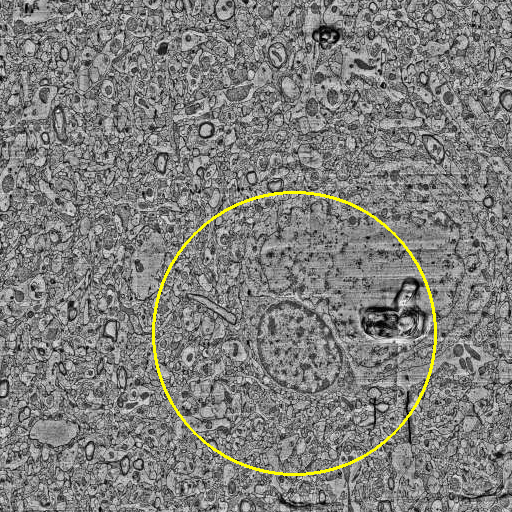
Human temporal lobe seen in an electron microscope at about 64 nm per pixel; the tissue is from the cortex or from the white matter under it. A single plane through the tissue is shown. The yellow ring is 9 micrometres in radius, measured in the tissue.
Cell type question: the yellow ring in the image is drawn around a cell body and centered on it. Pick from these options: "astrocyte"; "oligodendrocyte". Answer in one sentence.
The ringed cell at the center is an oligodendrocyte.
